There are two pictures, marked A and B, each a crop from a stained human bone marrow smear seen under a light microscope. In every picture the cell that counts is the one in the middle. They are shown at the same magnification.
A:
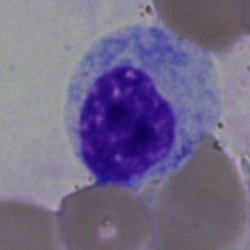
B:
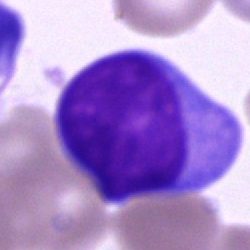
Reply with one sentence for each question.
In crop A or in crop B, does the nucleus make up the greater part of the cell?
It is the cell in crop B that is filled more by its nucleus.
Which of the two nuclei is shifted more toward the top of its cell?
In crop B the nucleus is shifted more toward the top.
